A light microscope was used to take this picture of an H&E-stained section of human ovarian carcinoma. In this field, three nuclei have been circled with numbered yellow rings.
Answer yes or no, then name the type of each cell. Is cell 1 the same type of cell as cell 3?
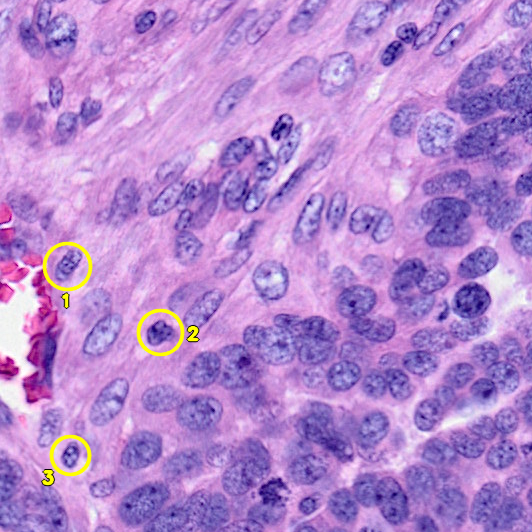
No, cell 1 is a macrophage or monocyte and cell 3 is a lymphocyte.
